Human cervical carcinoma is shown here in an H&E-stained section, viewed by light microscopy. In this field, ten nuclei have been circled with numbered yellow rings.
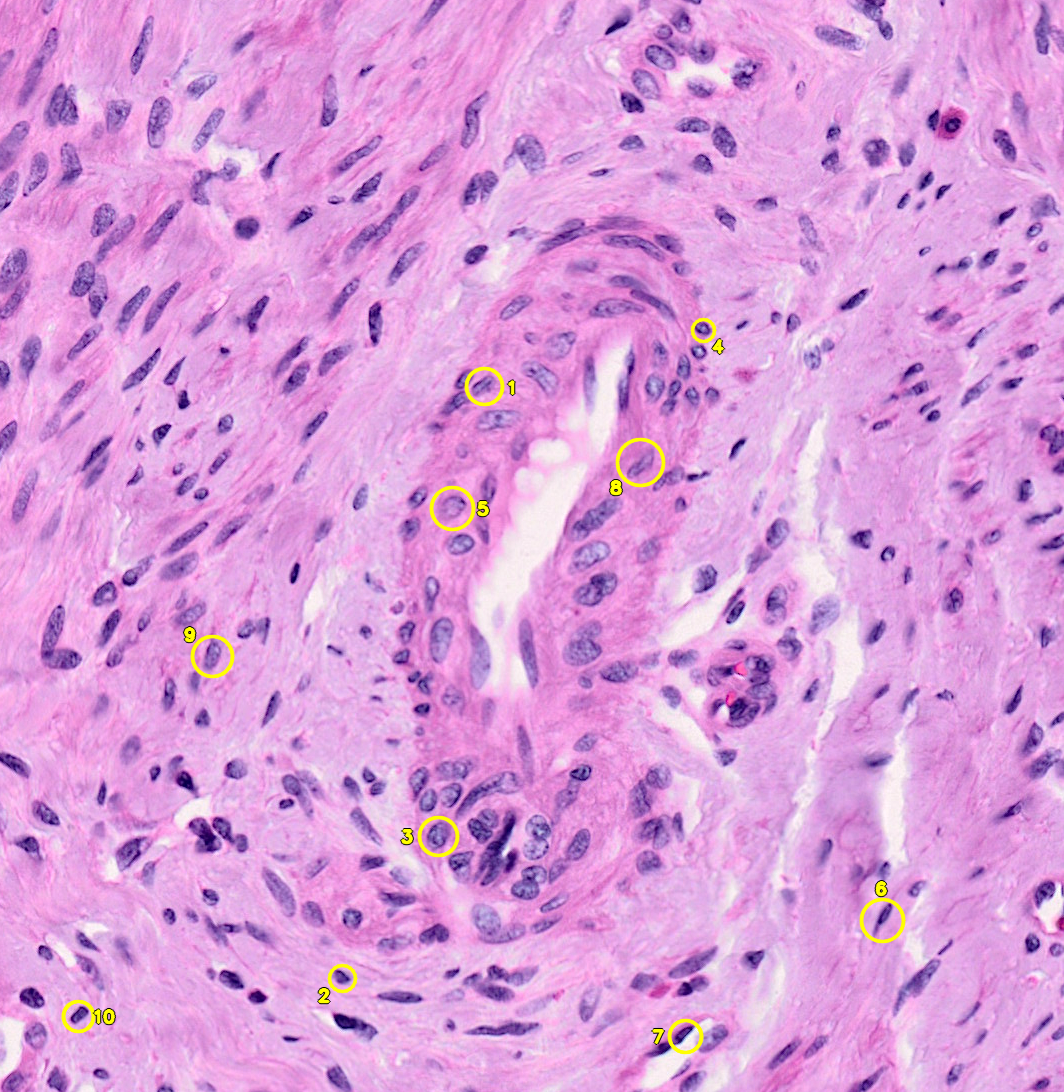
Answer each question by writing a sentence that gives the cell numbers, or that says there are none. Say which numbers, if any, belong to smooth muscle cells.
Each of the cells numbered 1, 3, 4, 5, 8 and 9 is among the smooth muscle cells.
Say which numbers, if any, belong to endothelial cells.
The cell labelled 7 is an endothelial cell, while the remaining numbered cells are not.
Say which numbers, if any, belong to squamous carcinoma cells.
Of the numbered cells, none can be classed as squamous carcinoma cells.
